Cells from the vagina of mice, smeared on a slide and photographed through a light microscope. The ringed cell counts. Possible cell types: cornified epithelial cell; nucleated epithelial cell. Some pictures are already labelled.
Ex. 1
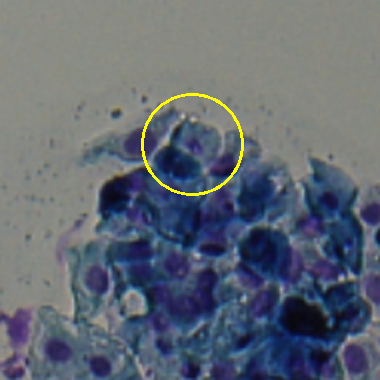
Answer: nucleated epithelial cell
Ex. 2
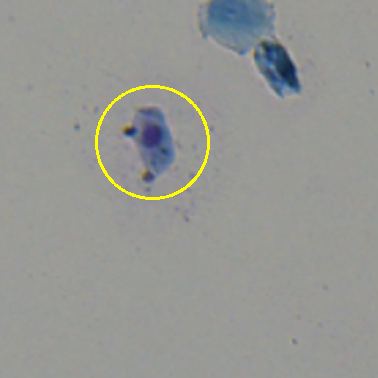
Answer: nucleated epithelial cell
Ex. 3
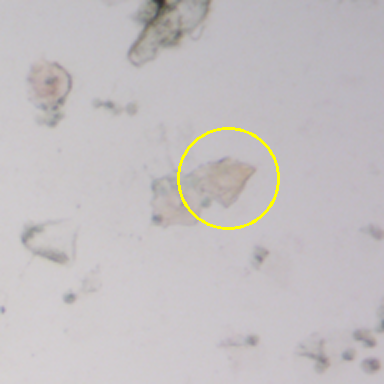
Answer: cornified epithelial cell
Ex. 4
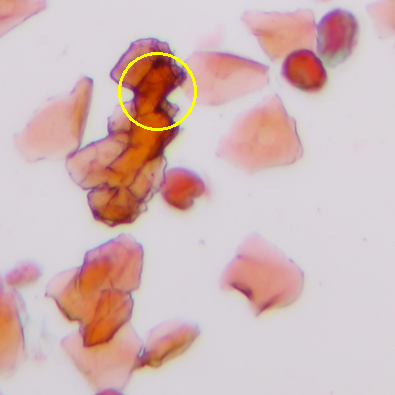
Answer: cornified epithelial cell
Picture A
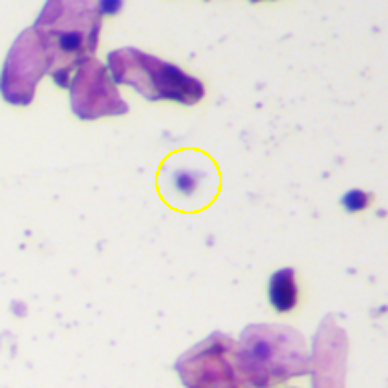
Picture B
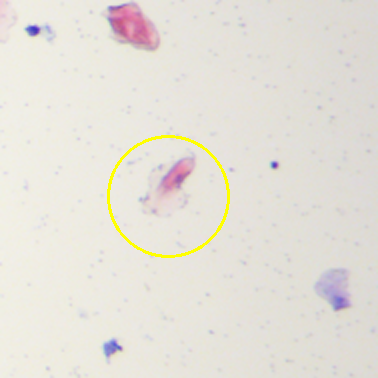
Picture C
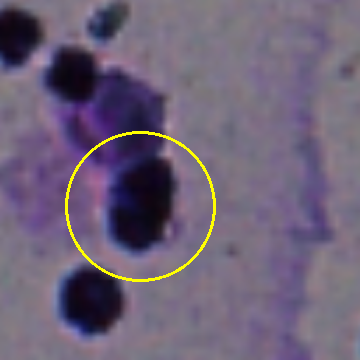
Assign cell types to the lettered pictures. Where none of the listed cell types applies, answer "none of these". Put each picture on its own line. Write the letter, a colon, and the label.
A: none of these
B: cornified epithelial cell
C: none of these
